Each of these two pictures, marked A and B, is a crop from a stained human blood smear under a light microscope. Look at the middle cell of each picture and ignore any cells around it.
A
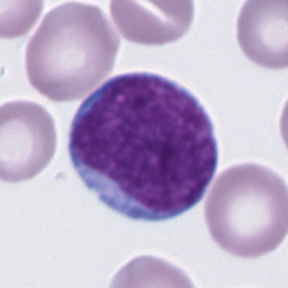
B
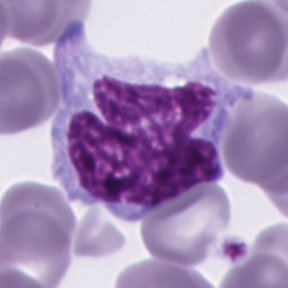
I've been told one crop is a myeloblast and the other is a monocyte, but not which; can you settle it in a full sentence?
Well, crop A is a myeloblast, and crop B is a monocyte.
